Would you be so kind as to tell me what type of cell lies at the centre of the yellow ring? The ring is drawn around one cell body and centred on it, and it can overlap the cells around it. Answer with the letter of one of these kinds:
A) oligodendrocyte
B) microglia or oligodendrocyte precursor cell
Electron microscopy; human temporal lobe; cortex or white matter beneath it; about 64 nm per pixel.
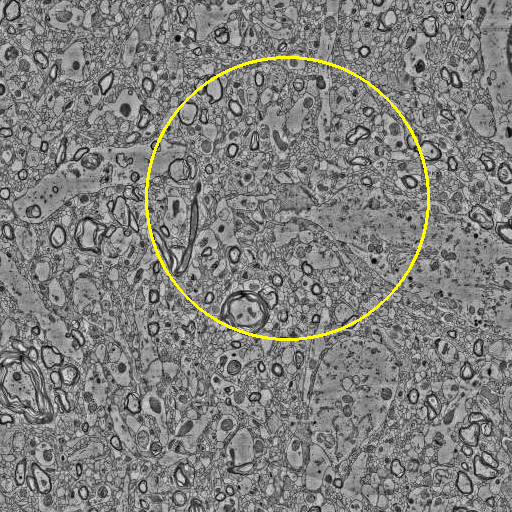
A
